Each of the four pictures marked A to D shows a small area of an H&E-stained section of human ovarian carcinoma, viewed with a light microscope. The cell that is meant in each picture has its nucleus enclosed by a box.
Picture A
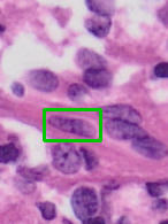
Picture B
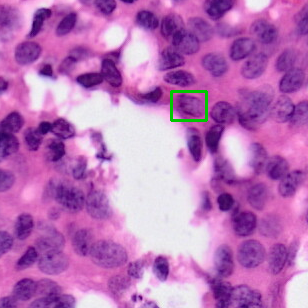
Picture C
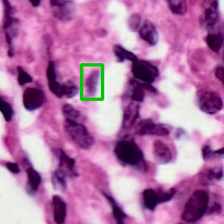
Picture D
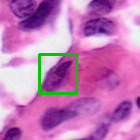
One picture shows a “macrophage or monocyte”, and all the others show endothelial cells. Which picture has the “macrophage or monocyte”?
C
